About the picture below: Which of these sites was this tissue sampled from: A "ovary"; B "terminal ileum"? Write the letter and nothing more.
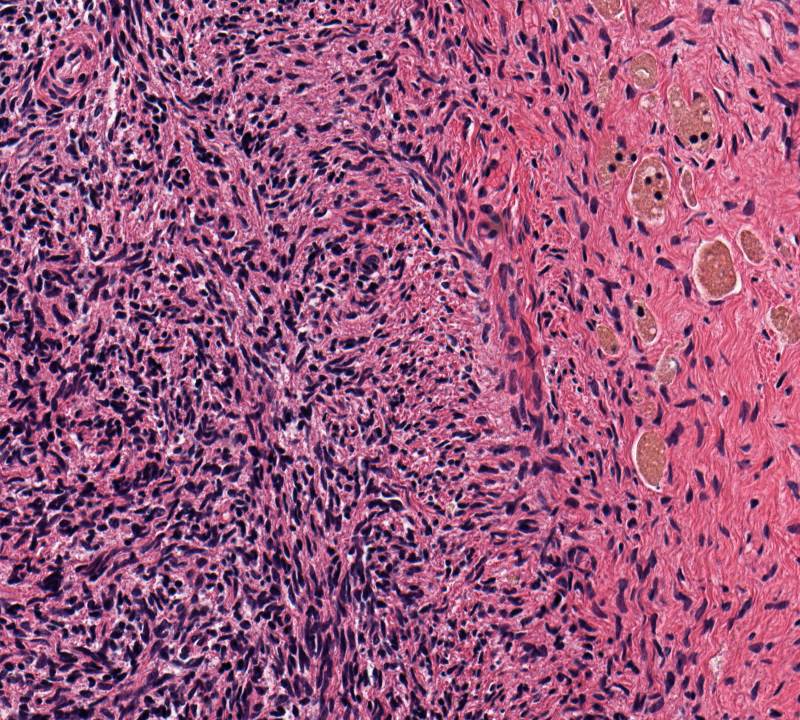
A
